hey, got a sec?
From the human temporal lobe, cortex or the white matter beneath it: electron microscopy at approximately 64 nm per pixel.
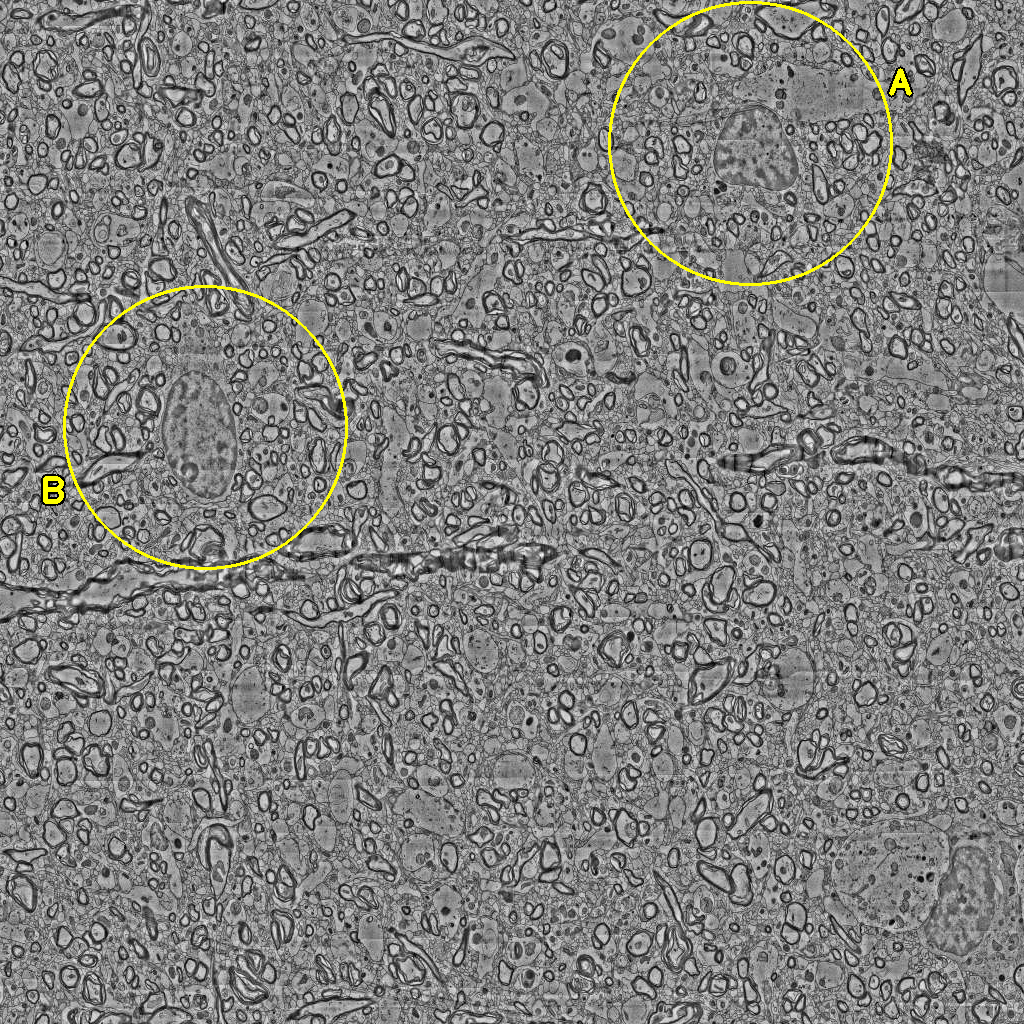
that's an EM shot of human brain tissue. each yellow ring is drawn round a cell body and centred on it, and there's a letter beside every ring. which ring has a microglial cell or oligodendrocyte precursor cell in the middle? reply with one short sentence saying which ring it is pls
Ring A is the one centred on it.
